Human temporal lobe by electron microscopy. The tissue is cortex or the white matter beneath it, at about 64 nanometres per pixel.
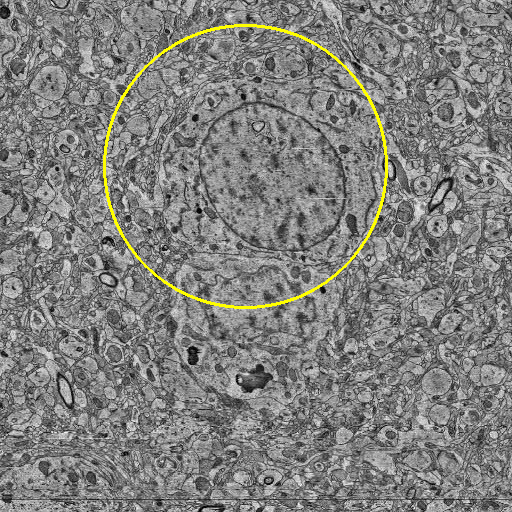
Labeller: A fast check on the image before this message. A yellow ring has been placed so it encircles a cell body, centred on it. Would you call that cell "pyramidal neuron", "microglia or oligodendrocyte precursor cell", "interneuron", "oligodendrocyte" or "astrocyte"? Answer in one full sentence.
In this image, a pyramidal neuron is the cell on which the yellow ring is centred.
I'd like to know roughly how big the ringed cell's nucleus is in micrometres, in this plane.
In this plane the nucleus spans approximately 10 by 9 micrometers.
